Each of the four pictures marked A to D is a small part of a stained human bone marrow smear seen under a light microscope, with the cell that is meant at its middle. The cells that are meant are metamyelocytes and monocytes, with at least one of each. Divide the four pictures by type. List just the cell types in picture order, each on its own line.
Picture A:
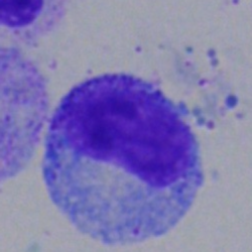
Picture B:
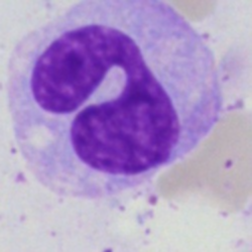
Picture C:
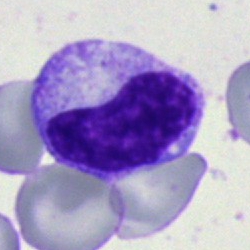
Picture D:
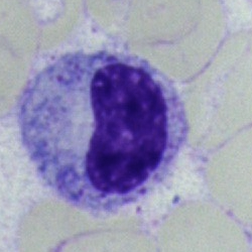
metamyelocyte
monocyte
metamyelocyte
metamyelocyte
